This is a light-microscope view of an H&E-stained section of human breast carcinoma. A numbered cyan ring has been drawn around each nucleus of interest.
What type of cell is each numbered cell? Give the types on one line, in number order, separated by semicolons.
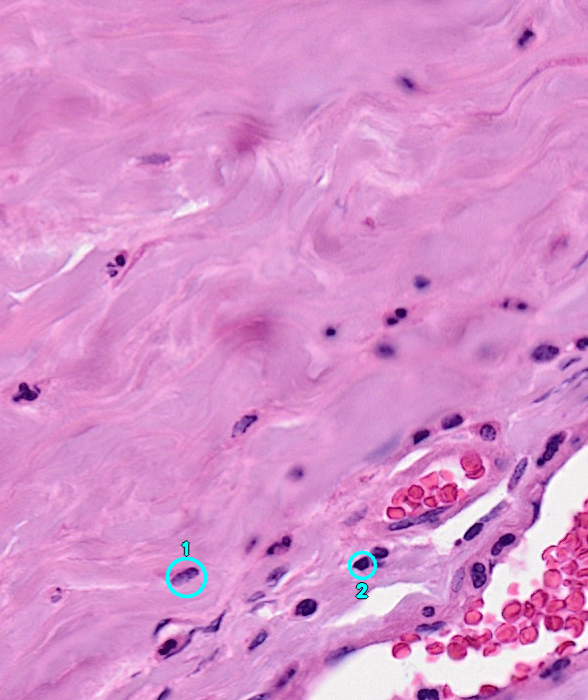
fibroblast; lymphocyte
